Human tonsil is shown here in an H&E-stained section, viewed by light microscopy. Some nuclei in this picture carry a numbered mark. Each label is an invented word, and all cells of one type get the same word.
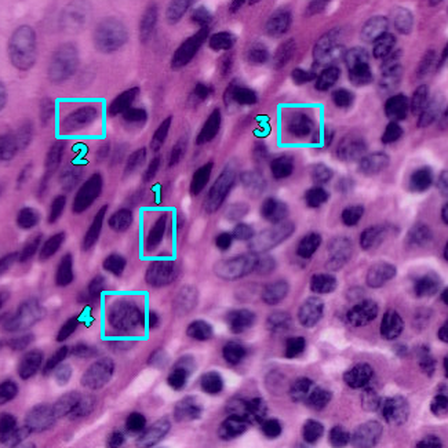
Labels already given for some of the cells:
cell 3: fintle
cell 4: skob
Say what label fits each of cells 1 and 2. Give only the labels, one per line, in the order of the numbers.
skob
skob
